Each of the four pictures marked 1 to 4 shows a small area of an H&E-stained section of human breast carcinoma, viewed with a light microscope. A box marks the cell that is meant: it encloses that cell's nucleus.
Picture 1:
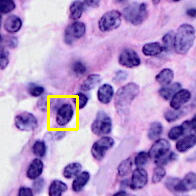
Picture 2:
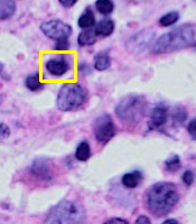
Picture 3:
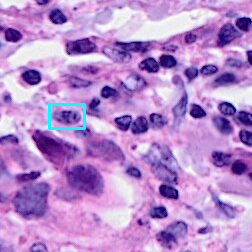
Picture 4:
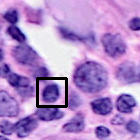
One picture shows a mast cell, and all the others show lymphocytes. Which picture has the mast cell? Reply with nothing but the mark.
3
